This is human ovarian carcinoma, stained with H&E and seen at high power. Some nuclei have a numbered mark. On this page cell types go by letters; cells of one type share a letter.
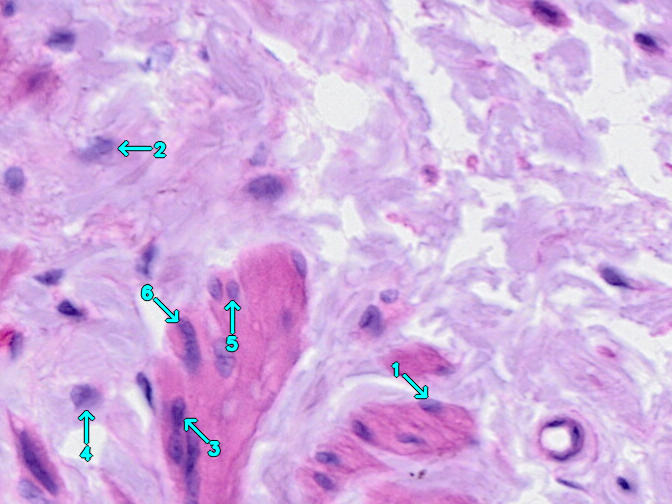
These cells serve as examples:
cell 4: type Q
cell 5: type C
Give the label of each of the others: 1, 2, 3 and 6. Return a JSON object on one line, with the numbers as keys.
{"1": "type C", "2": "type Q", "3": "type C", "6": "type C"}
